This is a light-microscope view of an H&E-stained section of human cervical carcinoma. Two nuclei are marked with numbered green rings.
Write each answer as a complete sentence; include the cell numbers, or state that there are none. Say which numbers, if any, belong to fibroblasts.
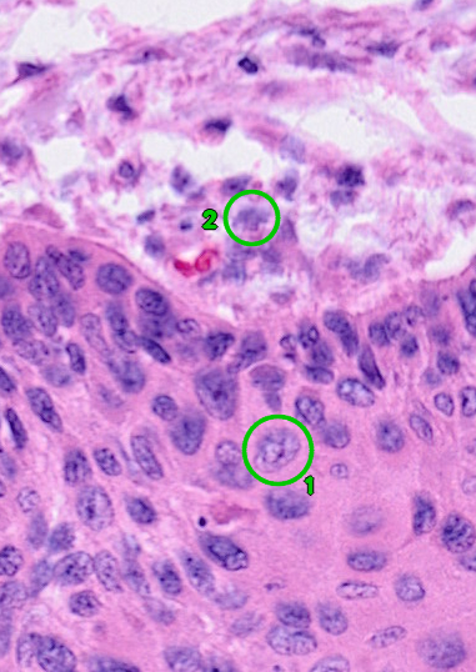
There is just one numbered cell that is a fibroblast, and it is cell 2.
